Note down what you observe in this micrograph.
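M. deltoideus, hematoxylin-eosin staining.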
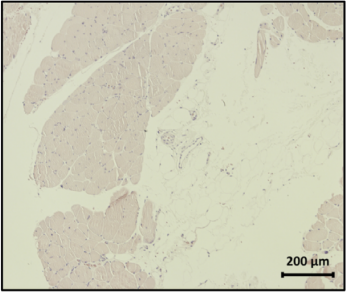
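Skeletal muscle cut across shows several groups of pale pink, polygonal muscle fibers packed into bundles. Small purple nuclei lie at the edges of the fibers and in places within them. The bundles are separated by a wide pale area that contains few cells and thin, faint membranes, more space than normal muscle shows between its bundles.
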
